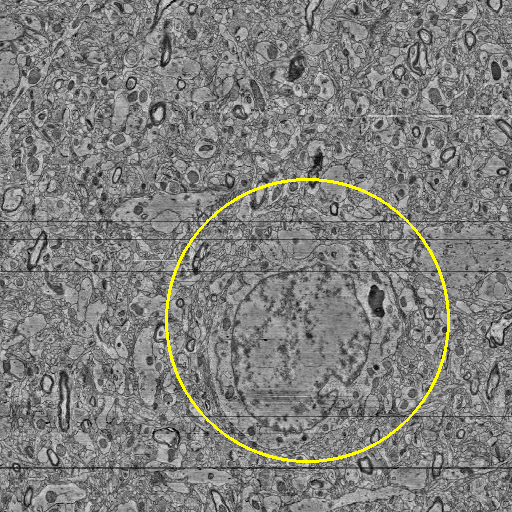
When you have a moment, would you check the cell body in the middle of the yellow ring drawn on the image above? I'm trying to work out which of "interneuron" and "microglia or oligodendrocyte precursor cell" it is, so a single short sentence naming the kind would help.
This cell body belongs to an interneuron.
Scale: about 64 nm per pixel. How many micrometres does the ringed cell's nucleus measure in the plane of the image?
The nucleus works out at approximately 11 by 9 micrometres in this plane.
